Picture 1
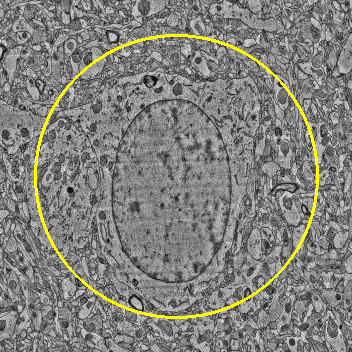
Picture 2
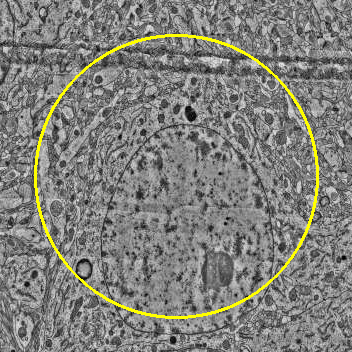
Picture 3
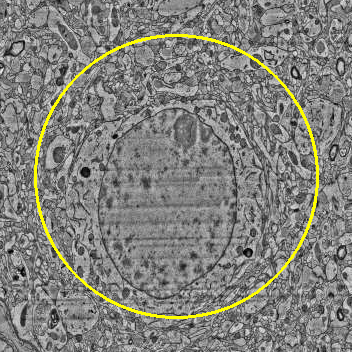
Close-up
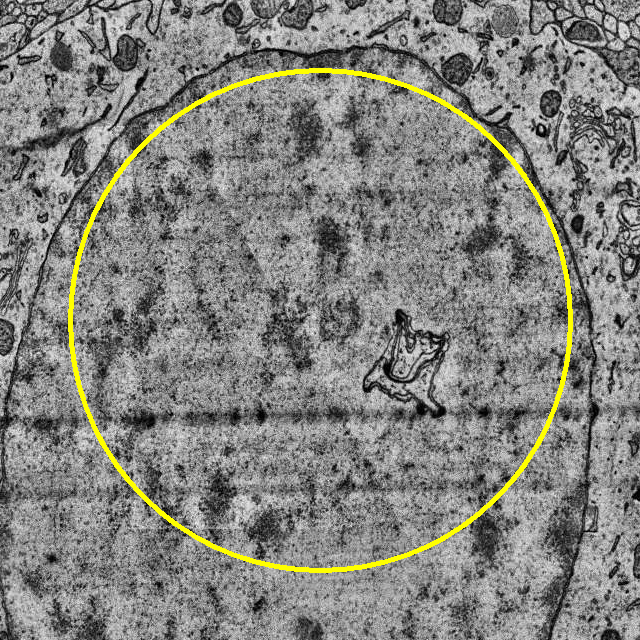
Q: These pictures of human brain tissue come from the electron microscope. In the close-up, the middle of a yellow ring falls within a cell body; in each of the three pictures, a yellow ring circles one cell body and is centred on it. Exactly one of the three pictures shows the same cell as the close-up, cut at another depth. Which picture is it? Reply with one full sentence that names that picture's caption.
The enlargement corresponds to the cell circled in Picture 3.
